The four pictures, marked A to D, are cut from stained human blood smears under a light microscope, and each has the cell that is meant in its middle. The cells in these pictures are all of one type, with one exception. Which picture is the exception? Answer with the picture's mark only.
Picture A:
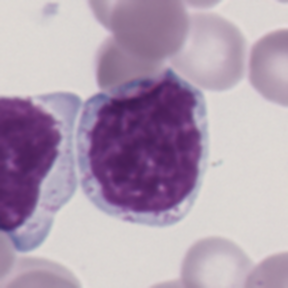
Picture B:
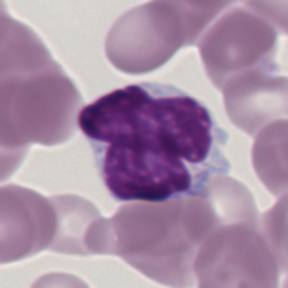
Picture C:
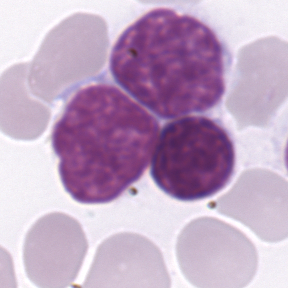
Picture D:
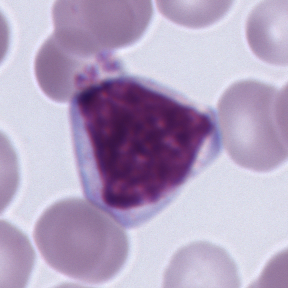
C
